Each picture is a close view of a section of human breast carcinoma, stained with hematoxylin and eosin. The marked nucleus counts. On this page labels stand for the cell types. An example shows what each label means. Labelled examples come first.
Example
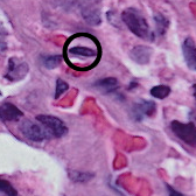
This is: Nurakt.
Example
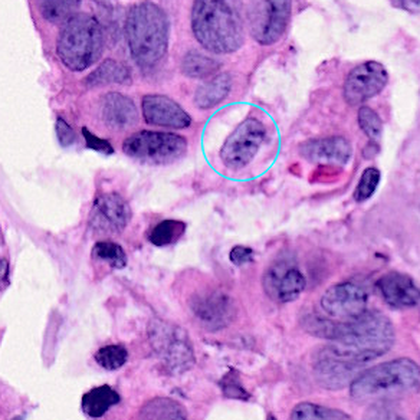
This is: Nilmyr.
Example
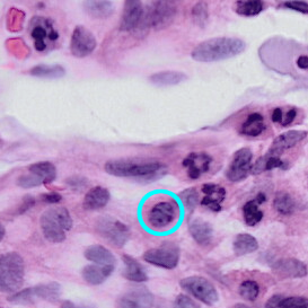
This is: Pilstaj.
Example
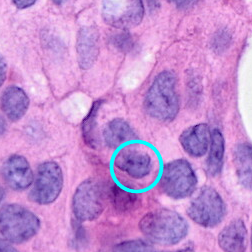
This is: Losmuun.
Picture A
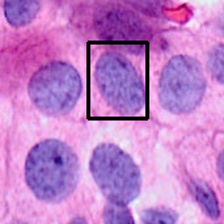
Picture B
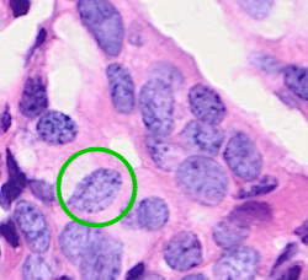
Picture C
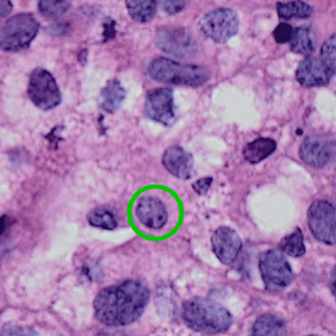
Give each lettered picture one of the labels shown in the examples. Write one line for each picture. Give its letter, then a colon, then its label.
A: Losmuun.
B: Losmuun.
C: Nilmyr.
